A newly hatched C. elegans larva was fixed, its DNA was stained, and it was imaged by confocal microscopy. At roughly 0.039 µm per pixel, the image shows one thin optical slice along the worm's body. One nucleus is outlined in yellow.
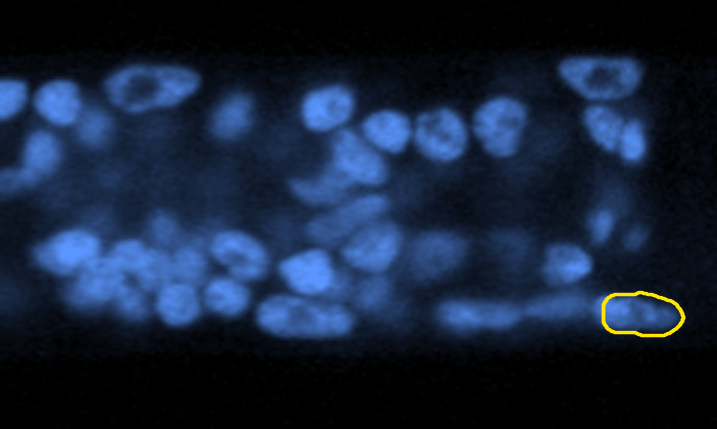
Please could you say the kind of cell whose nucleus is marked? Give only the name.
body wall muscle cell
